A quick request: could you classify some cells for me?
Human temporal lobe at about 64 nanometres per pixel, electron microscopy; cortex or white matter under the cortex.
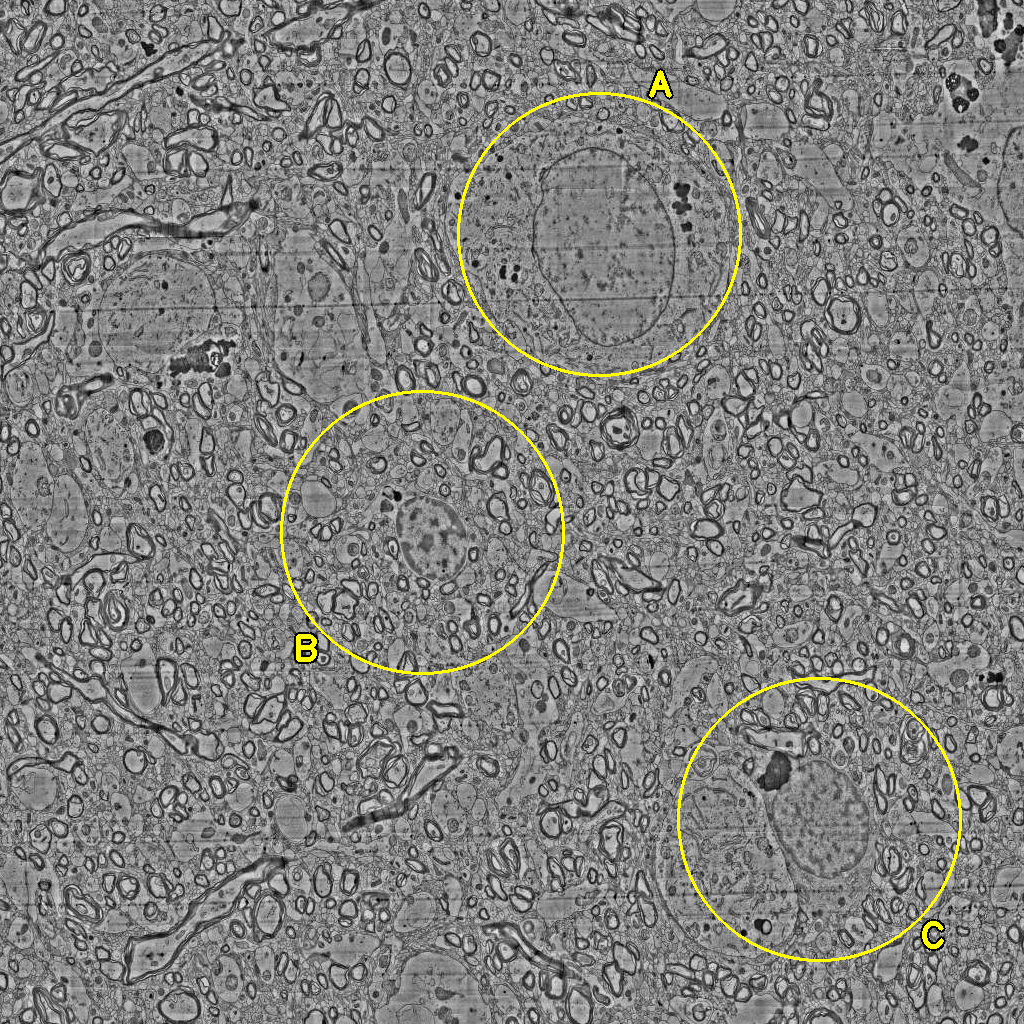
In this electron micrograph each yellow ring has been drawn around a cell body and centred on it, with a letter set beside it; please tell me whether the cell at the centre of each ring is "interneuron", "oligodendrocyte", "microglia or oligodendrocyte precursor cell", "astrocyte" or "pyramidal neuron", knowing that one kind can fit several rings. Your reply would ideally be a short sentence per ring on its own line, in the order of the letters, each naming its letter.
Ring A has a pyramidal neuron at its centre.
Ring B has a microglial cell or oligodendrocyte precursor cell at its centre.
Ring C has an oligodendrocyte at its centre.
